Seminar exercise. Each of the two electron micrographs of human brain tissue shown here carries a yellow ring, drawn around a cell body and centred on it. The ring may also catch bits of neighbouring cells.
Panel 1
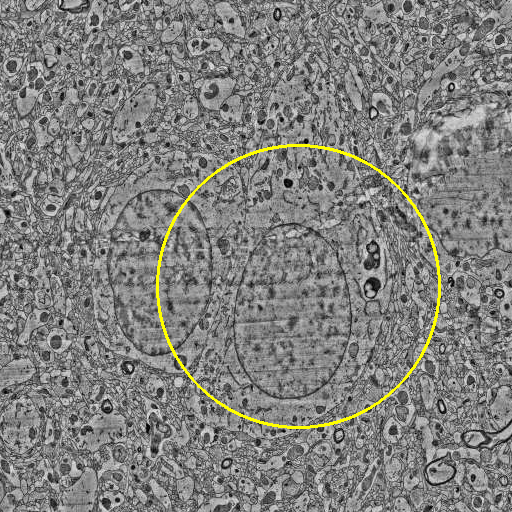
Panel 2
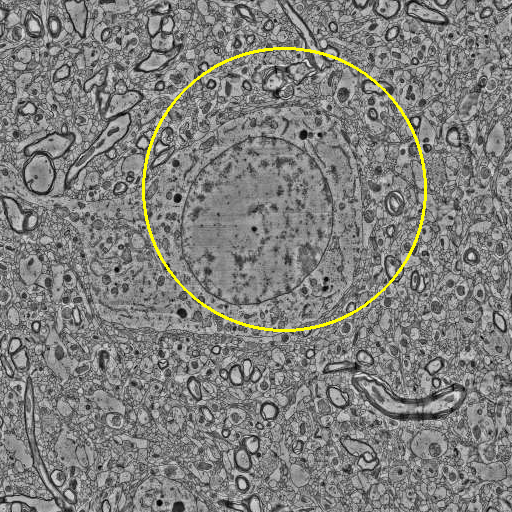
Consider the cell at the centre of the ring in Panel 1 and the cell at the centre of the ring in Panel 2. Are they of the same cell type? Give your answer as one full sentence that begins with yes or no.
Yes, both cells are of the same type.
